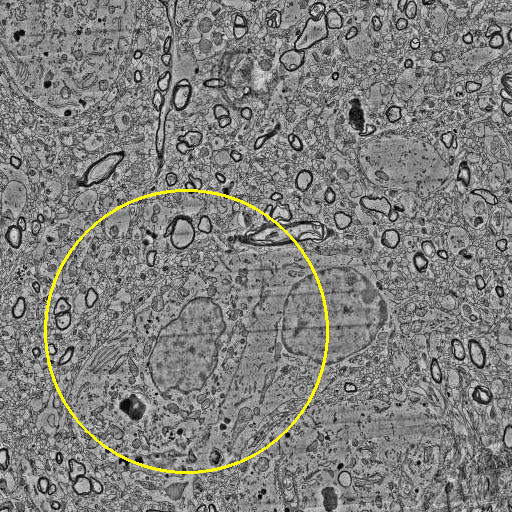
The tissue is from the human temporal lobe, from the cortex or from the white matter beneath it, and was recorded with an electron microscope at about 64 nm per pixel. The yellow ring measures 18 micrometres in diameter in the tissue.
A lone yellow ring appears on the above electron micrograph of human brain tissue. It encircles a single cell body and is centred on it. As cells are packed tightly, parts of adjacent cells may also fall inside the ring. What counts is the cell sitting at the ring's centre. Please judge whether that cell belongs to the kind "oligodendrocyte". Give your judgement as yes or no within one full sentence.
No, the cell lying at the centre of the ring in the picture belongs to another kind.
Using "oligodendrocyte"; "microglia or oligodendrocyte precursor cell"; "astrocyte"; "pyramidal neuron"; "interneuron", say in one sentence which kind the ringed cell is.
In this picture, the ring is centred on an interneuron.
